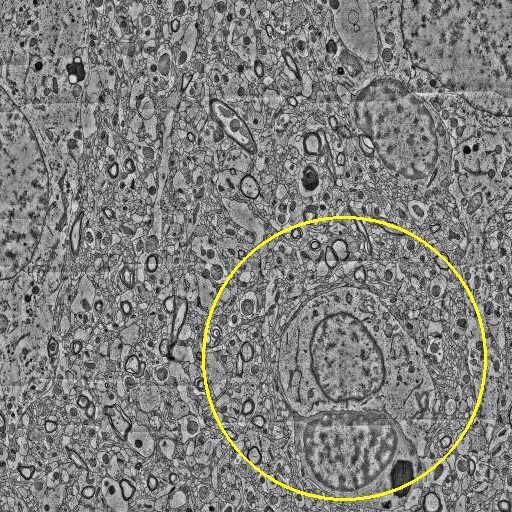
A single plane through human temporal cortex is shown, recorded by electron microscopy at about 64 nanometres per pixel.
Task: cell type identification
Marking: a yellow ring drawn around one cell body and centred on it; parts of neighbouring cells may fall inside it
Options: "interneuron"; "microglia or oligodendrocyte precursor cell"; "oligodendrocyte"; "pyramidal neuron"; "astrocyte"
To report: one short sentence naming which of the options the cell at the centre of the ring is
The cell at the centre of the ring is a pyramidal neuron.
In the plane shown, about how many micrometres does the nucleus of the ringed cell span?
About 6 by 4 micrometers, in this plane.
